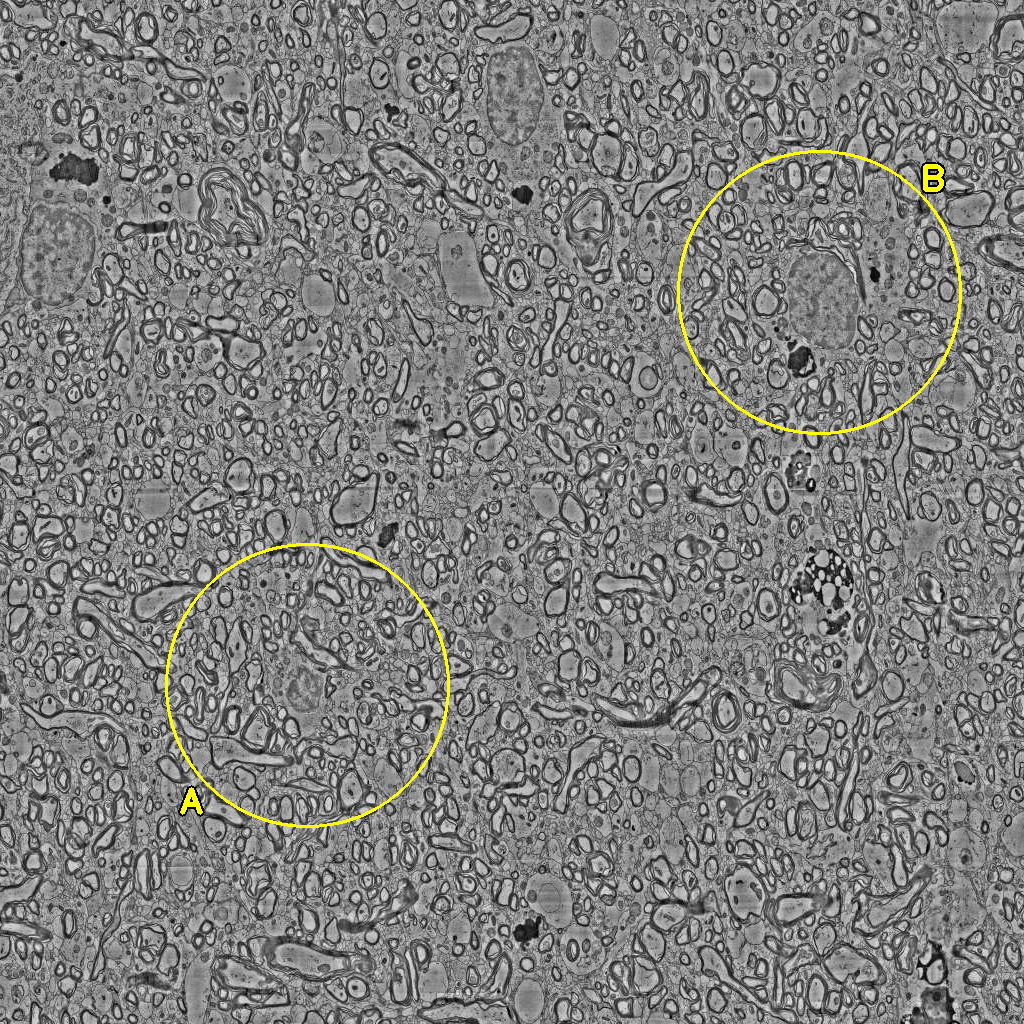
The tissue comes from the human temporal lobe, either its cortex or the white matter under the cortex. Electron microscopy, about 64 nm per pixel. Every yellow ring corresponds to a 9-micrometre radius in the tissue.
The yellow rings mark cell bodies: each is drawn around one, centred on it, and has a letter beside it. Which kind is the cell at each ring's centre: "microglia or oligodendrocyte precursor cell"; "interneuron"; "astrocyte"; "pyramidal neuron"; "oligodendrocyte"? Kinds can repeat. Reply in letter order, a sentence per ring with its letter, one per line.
At the centre of ring A lies an oligodendrocyte.
At the centre of ring B lies an oligodendrocyte.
